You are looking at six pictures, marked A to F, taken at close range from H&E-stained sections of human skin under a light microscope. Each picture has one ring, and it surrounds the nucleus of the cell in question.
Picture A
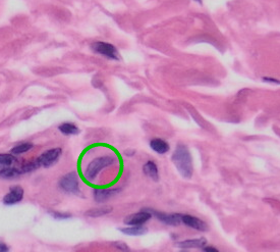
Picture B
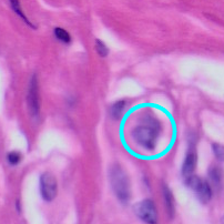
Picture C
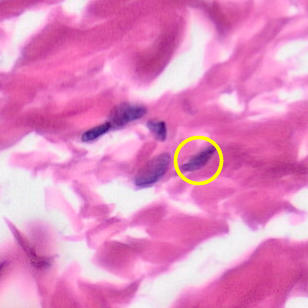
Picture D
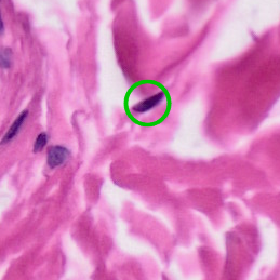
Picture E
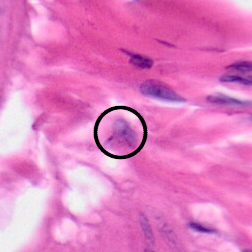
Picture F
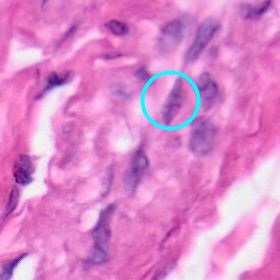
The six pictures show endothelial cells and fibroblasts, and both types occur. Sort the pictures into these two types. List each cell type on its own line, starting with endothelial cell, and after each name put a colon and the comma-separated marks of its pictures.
endothelial cell: A, B, F
fibroblast: C, D, E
